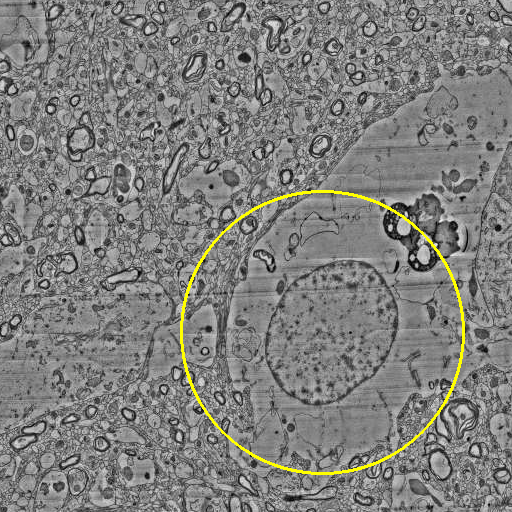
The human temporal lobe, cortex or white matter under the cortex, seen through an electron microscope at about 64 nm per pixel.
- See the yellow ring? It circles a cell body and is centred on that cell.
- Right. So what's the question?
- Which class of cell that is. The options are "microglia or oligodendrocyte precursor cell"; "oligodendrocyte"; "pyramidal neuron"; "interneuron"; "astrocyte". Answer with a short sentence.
The centre of the ring holds an astrocyte.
